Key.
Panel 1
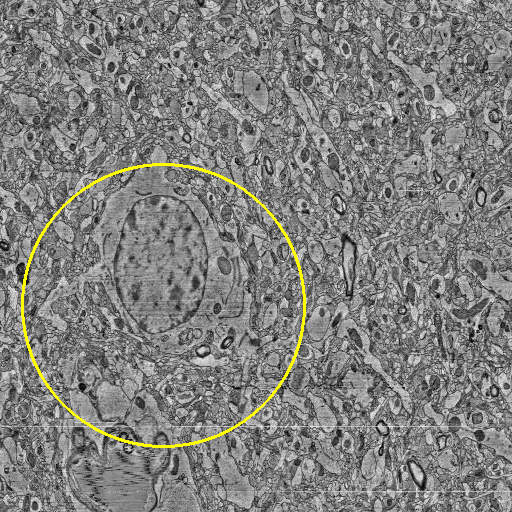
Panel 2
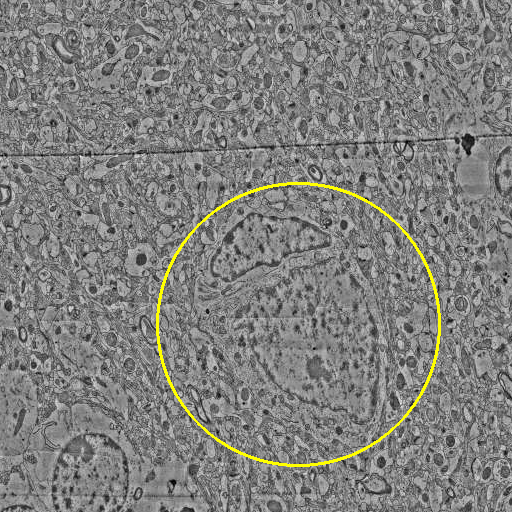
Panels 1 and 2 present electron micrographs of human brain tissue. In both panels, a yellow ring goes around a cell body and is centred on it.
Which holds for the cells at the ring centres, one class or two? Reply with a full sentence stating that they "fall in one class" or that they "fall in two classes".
Taken together, the ring-centre cells of the two panels fall in two classes.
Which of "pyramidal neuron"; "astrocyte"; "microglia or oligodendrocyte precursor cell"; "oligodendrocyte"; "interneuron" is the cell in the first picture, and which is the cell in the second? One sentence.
The two differ: the first cell is an astrocyte and the second is an interneuron.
